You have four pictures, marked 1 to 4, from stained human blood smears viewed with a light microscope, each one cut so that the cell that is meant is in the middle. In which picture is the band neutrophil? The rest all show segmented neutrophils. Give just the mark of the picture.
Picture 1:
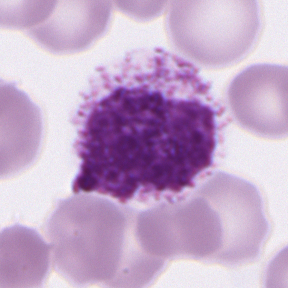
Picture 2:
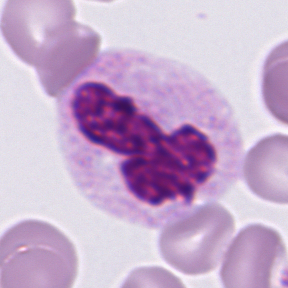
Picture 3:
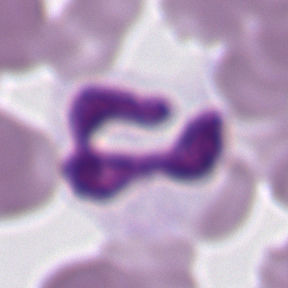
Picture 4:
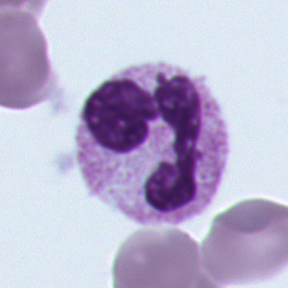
1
